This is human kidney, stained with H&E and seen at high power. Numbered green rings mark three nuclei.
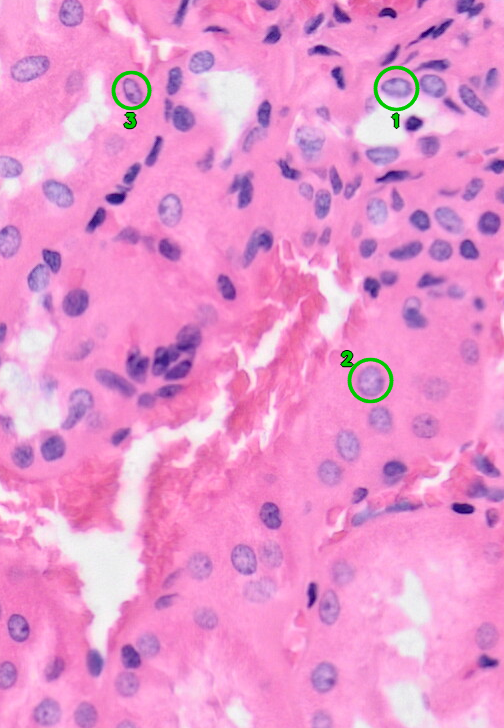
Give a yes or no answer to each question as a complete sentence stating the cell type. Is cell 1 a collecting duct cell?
Yes, number 1 is assigned to a cell that is a collecting duct cell.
